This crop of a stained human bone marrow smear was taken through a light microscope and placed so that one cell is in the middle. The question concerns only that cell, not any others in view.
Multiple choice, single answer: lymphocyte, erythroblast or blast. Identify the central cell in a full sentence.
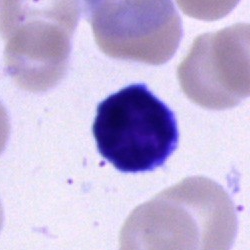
In short, the cell at the center is a lymphocyte.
